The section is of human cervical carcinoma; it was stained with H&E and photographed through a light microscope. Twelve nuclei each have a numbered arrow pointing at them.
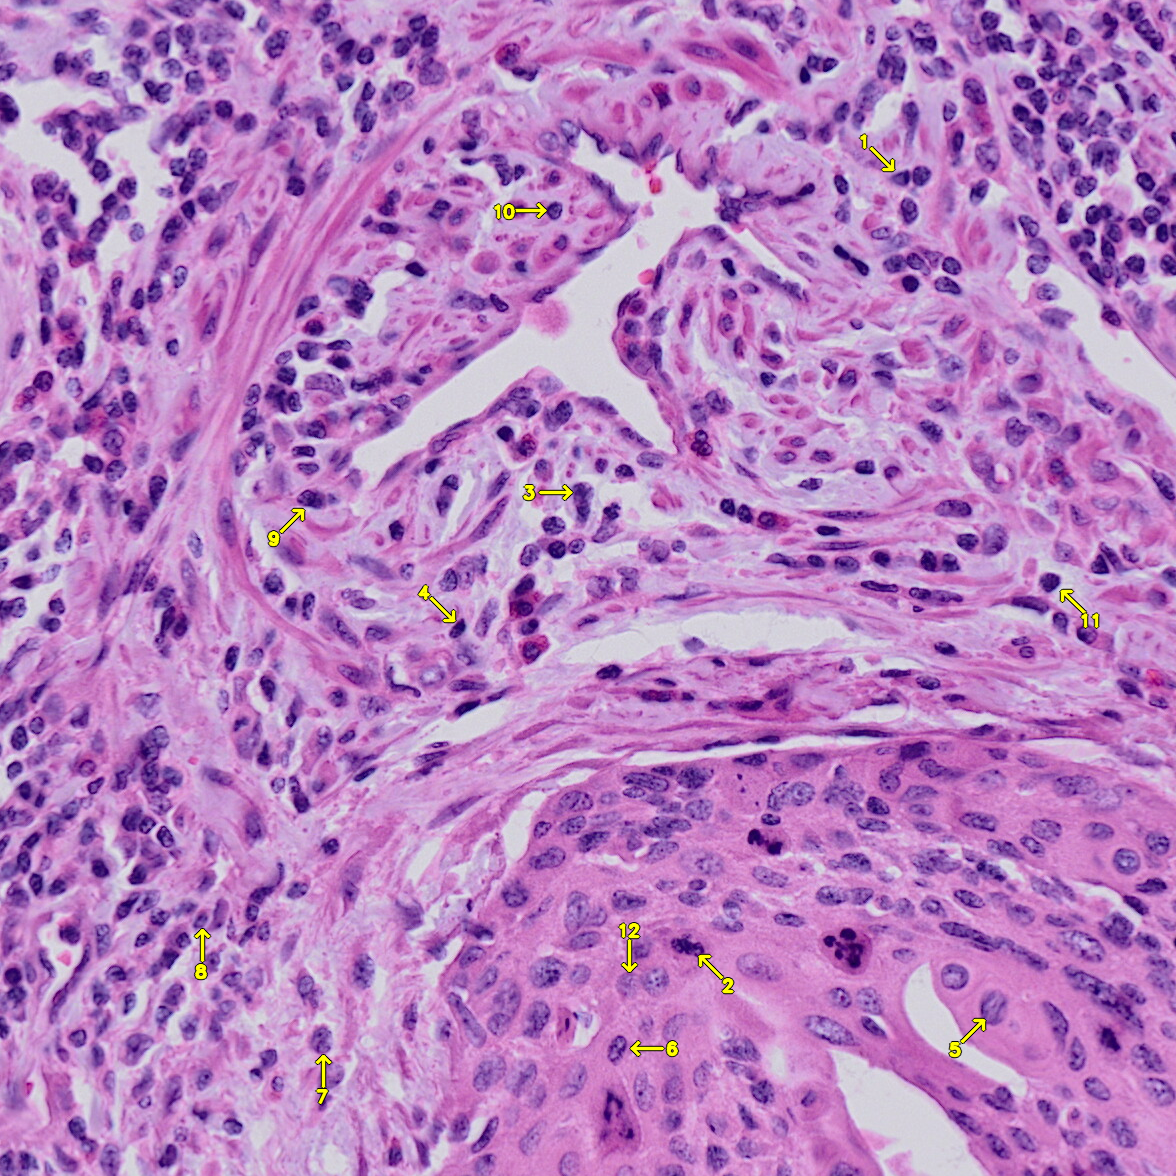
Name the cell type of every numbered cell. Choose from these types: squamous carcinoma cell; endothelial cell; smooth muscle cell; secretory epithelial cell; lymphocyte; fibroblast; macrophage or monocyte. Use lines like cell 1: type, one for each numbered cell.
cell 1: lymphocyte
cell 2: squamous carcinoma cell
cell 3: lymphocyte
cell 4: lymphocyte
cell 5: squamous carcinoma cell
cell 6: squamous carcinoma cell
cell 7: macrophage or monocyte
cell 8: lymphocyte
cell 9: lymphocyte
cell 10: lymphocyte
cell 11: lymphocyte
cell 12: squamous carcinoma cell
